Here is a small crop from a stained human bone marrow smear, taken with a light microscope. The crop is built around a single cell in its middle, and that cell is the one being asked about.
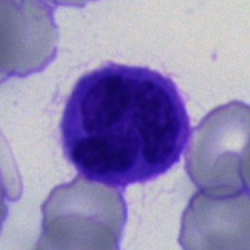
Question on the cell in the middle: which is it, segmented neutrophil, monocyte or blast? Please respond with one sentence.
Classification of the middle cell gives a monocyte.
